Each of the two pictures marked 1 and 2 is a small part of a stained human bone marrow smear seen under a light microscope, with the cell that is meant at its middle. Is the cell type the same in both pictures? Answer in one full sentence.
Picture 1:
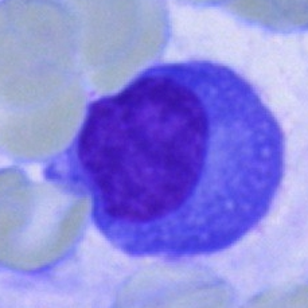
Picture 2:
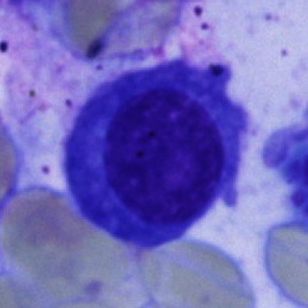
Yes; the cells in both pictures are plasma cells.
